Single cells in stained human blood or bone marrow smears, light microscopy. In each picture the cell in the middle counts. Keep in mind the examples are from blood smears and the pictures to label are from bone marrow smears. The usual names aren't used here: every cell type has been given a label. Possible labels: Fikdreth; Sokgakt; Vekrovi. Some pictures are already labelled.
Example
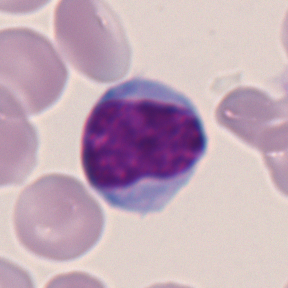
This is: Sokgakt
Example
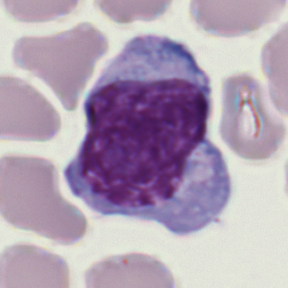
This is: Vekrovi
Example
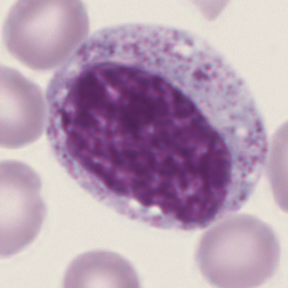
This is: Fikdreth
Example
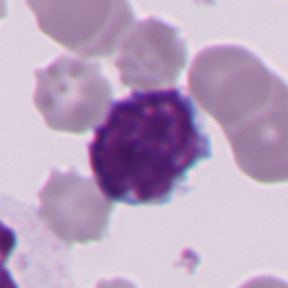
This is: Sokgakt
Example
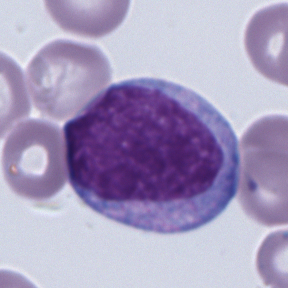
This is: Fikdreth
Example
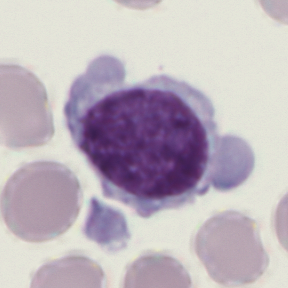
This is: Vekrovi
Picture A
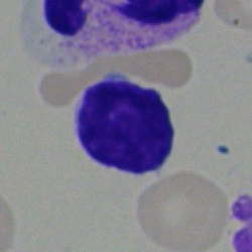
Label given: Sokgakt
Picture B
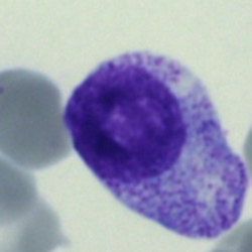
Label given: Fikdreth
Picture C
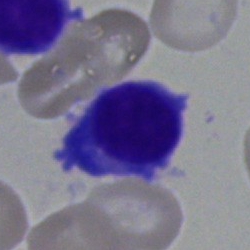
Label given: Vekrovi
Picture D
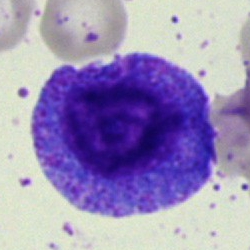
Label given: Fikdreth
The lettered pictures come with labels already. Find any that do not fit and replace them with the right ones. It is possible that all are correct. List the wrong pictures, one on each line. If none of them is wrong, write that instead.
No label is wrong.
